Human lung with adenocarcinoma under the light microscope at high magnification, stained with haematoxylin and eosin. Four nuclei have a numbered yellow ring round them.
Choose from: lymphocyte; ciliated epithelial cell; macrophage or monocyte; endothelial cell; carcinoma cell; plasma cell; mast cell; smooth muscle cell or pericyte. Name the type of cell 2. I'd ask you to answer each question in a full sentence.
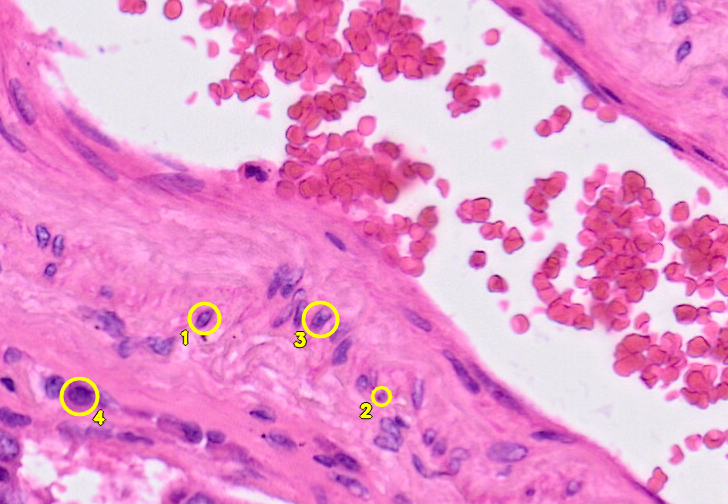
Identified as a smooth muscle cell or pericyte is the cell bearing the number 2.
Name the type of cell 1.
Cell 1 should be recorded as a smooth muscle cell or pericyte.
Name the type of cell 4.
The cell with the number 4 is a plasma cell.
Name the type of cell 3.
The cell that is numbered 3 is a smooth muscle cell or pericyte.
